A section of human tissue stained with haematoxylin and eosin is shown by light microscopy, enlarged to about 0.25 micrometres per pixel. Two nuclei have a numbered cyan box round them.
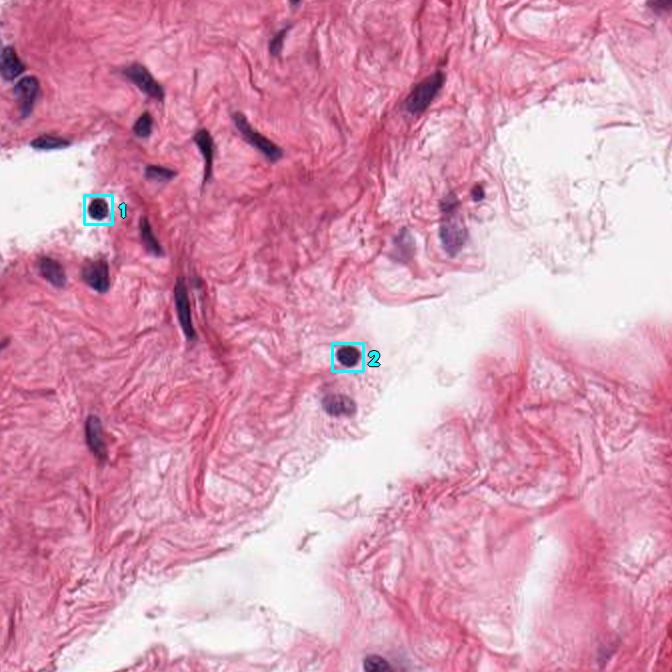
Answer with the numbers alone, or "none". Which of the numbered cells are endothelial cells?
none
